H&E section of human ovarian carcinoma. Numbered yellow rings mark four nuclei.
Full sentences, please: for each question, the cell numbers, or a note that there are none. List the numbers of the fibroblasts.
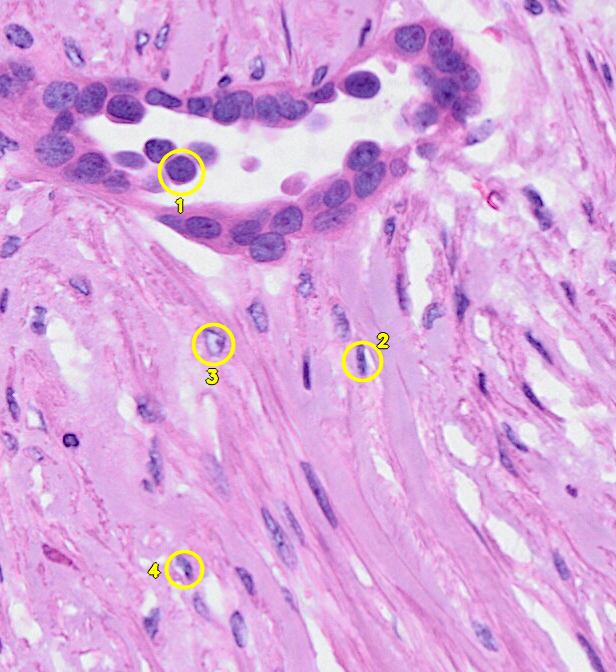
The cells numbered 2, 3 and 4 are of one kind: fibroblasts.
